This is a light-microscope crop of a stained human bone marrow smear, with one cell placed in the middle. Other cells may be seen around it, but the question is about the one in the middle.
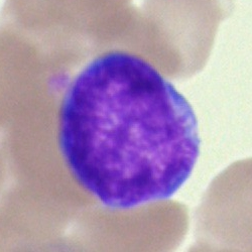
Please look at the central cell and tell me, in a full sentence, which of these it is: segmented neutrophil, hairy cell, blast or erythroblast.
Of the cells in this crop, the central one is a blast.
